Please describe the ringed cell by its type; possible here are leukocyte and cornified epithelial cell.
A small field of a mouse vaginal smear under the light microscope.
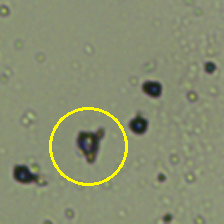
The yellow ring marks a leukocyte.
